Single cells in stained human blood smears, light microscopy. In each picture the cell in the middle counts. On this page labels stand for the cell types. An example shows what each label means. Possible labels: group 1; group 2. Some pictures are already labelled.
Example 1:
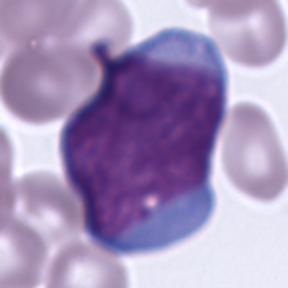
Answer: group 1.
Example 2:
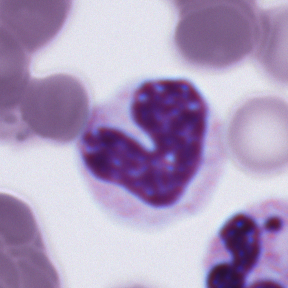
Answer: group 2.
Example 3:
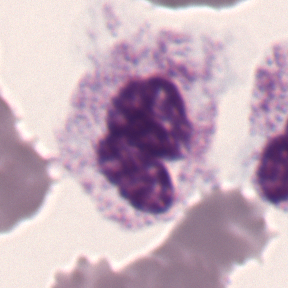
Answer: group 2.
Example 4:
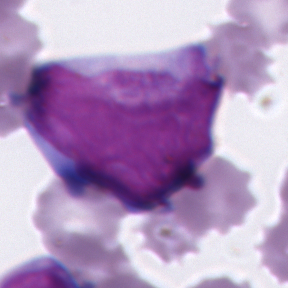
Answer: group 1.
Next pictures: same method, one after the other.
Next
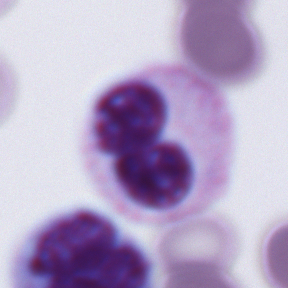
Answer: group 2.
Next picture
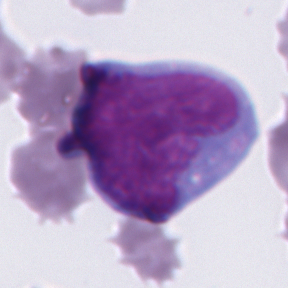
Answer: group 1.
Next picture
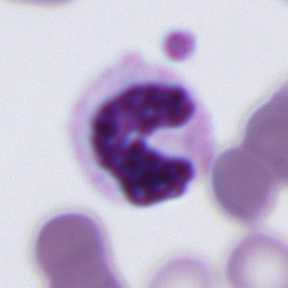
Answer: group 2.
